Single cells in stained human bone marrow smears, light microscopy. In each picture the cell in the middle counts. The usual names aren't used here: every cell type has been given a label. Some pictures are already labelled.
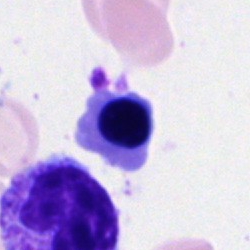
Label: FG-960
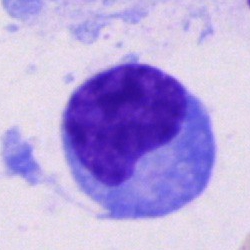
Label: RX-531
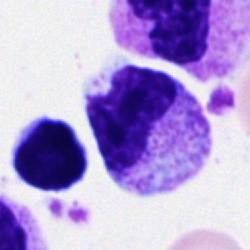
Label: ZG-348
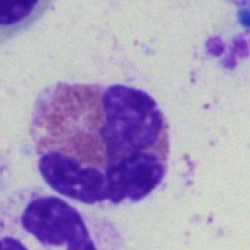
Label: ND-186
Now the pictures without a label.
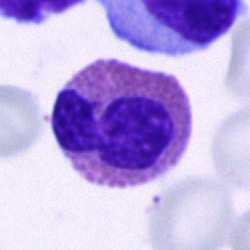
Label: ND-186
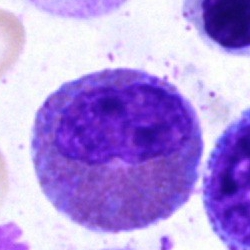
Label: ND-186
